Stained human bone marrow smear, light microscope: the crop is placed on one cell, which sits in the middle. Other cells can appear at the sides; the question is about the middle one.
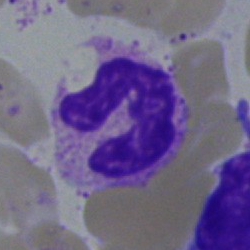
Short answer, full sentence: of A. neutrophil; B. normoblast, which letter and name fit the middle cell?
The correct option here is A; the middle cell is a neutrophil.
